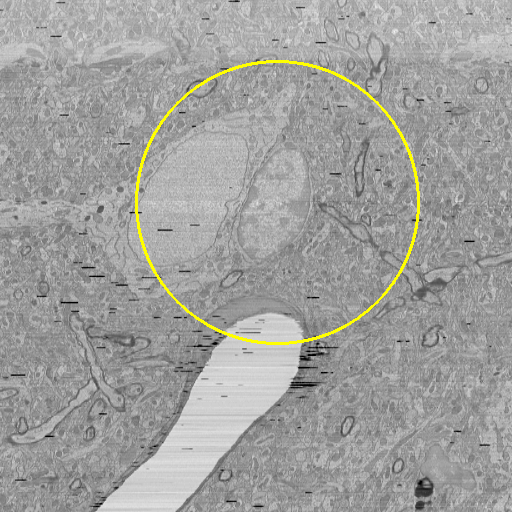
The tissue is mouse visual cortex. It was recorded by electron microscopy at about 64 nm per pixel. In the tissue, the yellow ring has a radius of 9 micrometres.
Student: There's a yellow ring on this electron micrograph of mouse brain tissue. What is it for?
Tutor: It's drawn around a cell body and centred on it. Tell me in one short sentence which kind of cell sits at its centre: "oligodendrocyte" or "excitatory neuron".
The cell at the centre of the ring is an oligodendrocyte.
